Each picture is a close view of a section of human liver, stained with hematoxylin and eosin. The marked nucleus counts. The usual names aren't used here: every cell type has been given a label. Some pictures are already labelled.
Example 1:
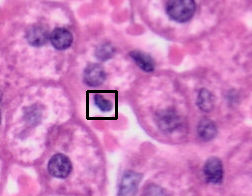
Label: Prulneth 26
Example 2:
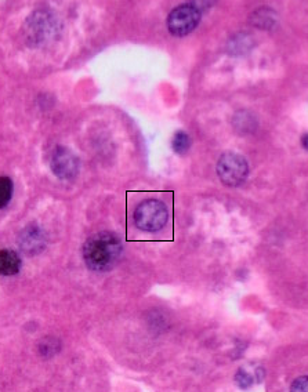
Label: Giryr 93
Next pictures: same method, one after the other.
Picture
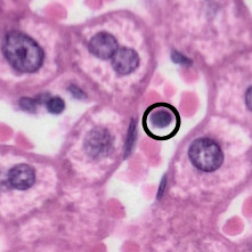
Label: Prulneth 26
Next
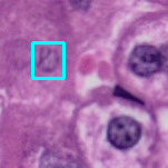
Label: Giryr 93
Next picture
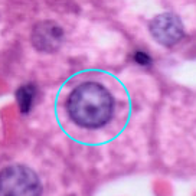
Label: Giryr 93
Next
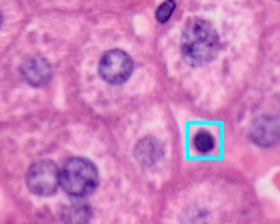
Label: Prulneth 26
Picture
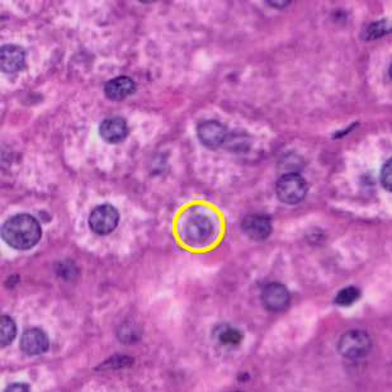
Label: Giryr 93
